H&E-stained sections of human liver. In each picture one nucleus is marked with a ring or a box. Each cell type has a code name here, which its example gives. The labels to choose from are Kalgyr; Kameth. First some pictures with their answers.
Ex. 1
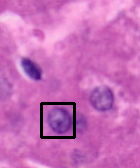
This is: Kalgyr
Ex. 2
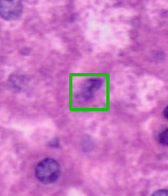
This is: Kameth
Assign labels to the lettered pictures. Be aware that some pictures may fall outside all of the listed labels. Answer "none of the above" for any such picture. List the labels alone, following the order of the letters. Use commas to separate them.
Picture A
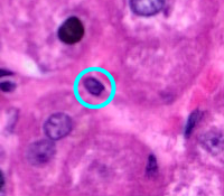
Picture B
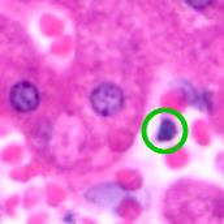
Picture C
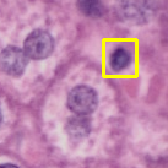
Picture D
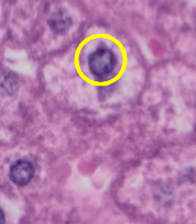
none of the above, none of the above, none of the above, Kalgyr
